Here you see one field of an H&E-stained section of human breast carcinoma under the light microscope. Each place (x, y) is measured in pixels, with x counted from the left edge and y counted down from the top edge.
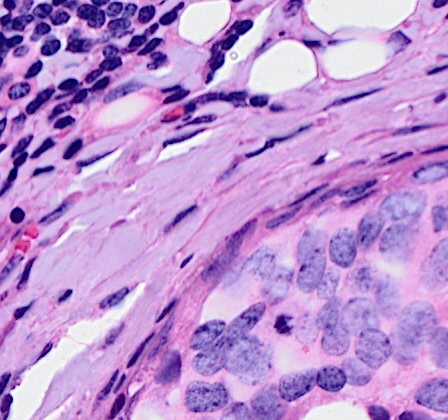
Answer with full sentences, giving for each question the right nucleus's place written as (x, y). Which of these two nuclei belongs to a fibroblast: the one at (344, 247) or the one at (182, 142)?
The nucleus at (182, 142) is the one that belongs to a fibroblast.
